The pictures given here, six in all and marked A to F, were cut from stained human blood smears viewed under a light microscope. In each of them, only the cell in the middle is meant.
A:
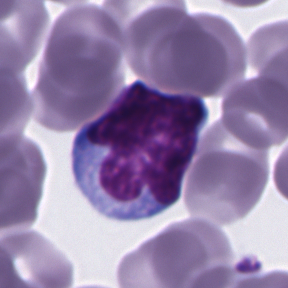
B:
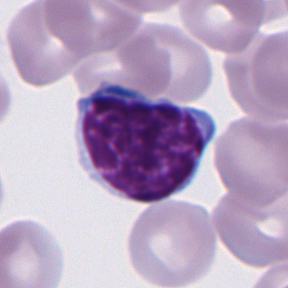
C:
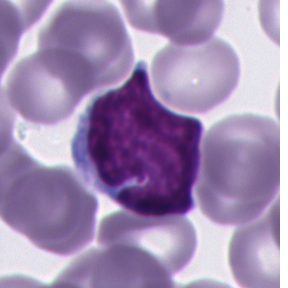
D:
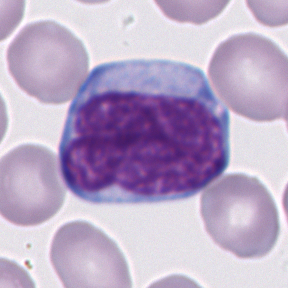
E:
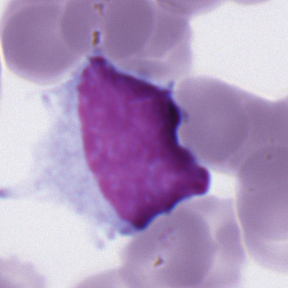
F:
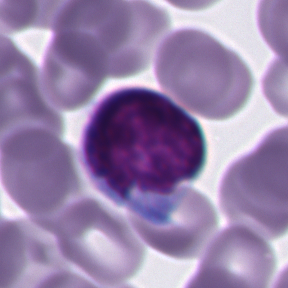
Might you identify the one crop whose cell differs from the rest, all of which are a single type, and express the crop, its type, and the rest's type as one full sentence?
As the exception to the typical lymphocytes in the other crops, crop D shows a myeloblast.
